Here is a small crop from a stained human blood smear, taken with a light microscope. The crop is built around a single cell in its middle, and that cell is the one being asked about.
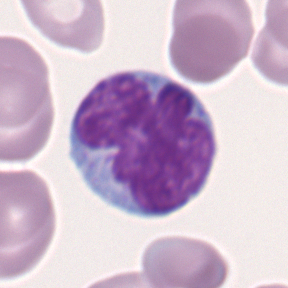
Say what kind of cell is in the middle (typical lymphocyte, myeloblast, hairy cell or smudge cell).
myeloblast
